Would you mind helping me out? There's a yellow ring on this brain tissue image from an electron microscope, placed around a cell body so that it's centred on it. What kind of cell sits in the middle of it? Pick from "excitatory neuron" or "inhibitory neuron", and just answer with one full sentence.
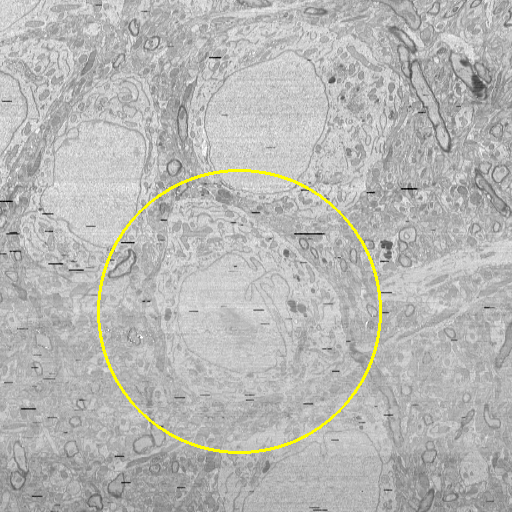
What sits in the middle of that yellow ring is an inhibitory neuron, from your choices.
